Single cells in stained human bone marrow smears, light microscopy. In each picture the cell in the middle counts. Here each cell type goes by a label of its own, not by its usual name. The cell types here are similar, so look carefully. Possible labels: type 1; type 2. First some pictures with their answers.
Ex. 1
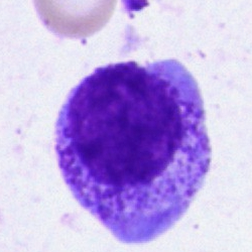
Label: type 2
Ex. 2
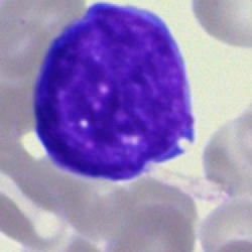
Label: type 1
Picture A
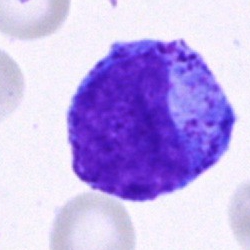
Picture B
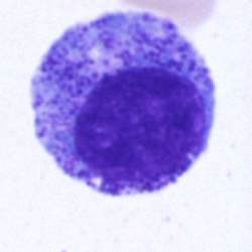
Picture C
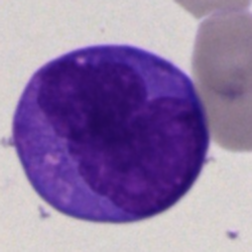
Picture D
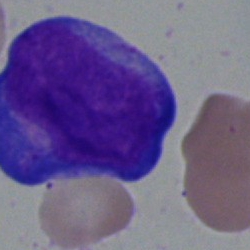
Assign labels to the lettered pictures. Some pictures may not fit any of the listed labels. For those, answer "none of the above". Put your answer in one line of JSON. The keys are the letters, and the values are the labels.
{"A": "type 2", "B": "type 2", "C": "type 1", "D": "type 1"}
